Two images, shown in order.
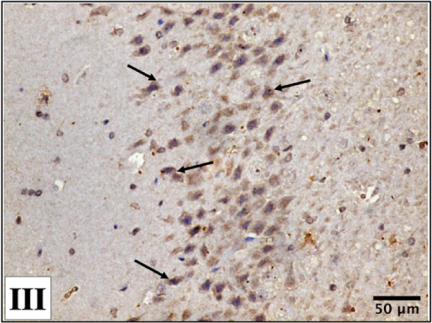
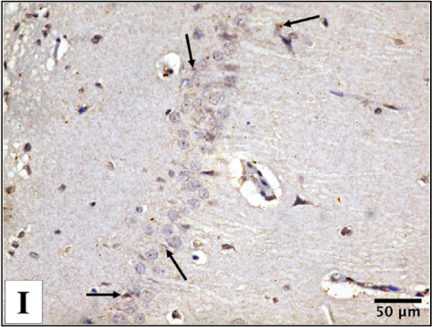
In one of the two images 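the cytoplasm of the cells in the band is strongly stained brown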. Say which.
The first image.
